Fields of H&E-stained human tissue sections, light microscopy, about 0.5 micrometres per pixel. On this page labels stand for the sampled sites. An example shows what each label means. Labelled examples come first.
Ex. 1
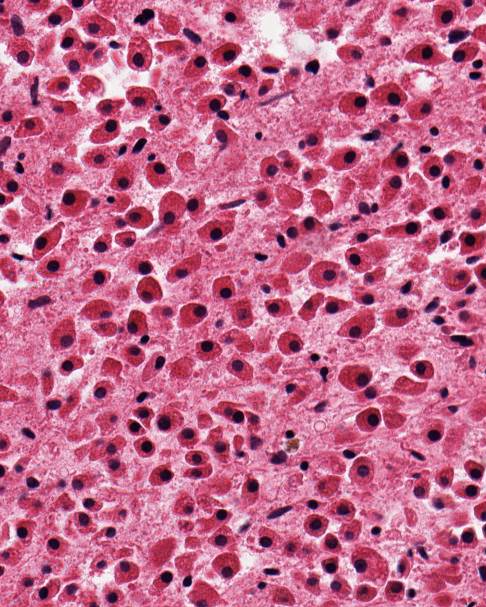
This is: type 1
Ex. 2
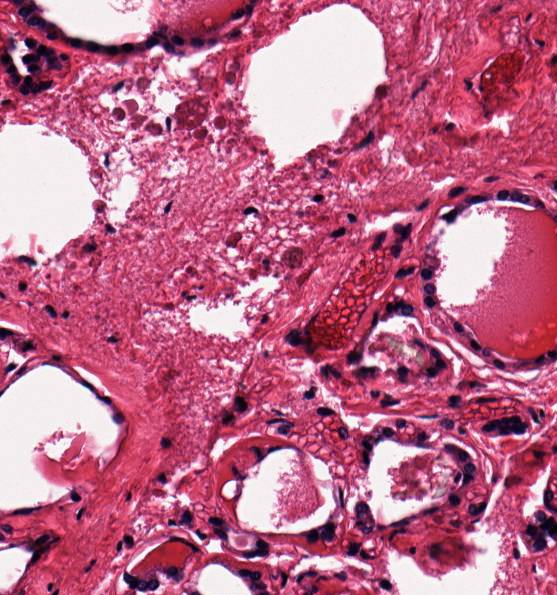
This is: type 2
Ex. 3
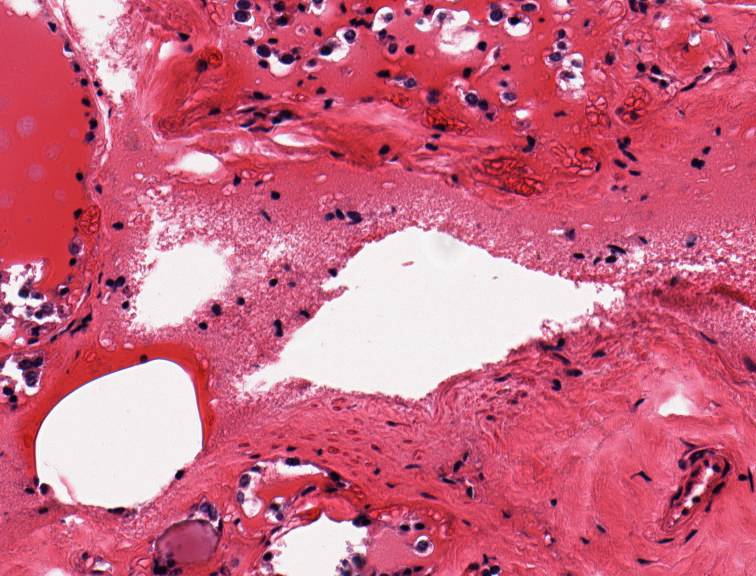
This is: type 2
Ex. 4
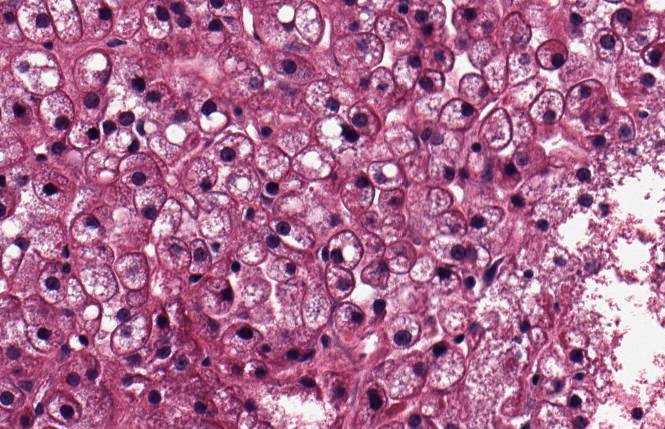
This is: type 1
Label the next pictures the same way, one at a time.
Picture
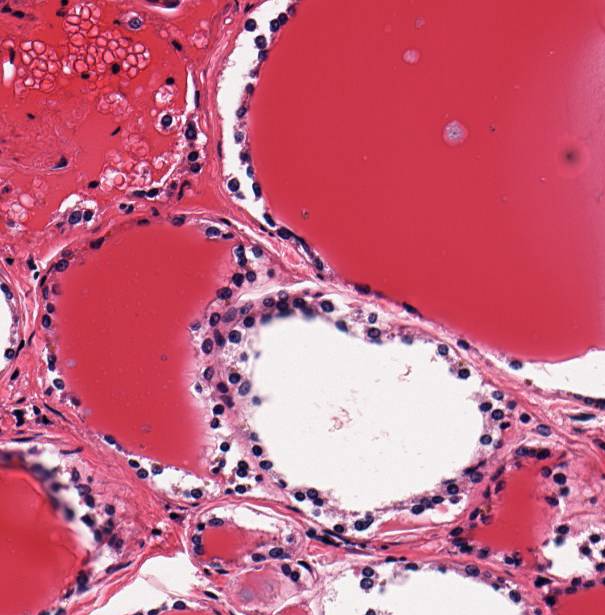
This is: type 2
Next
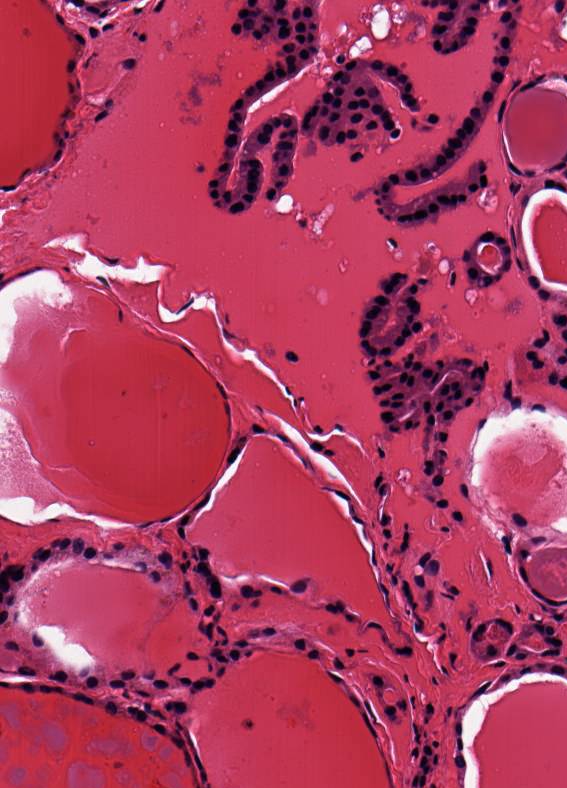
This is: type 2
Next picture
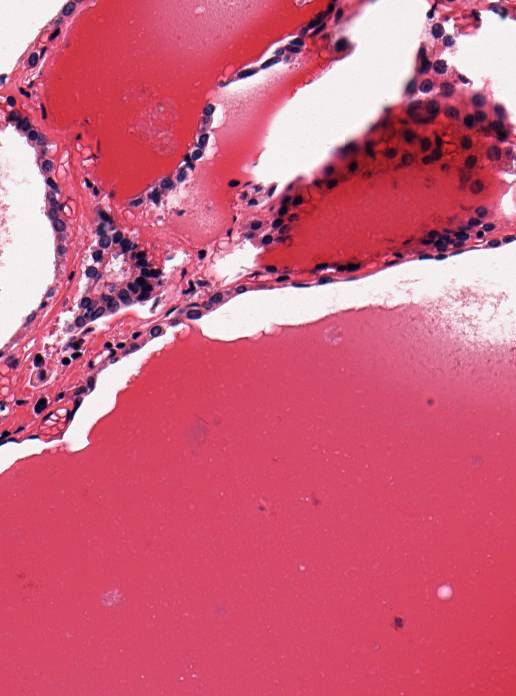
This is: type 2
